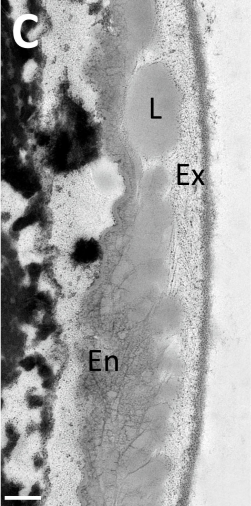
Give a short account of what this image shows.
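Pale, rounded to elongated lipid bodies lie in a row between a finely textured inner endospore and a thin outer exospore edged by a dark line. To the left, the cytoplasm holds irregular dark electron-dense patches, and no dark middle wall layer is seen.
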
